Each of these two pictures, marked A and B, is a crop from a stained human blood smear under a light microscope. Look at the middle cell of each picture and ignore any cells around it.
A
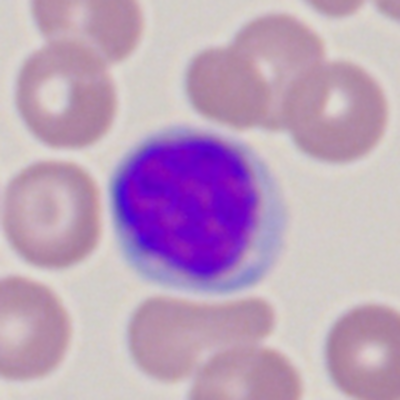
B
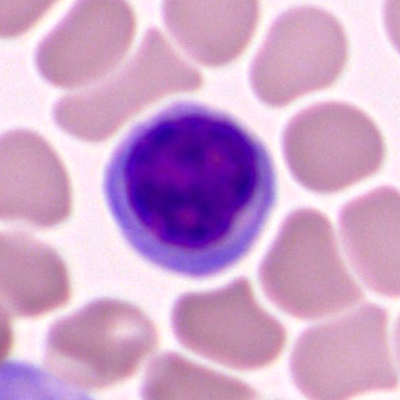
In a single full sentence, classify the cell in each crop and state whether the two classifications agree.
Yes, the pair of crops both show lymphocytes.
